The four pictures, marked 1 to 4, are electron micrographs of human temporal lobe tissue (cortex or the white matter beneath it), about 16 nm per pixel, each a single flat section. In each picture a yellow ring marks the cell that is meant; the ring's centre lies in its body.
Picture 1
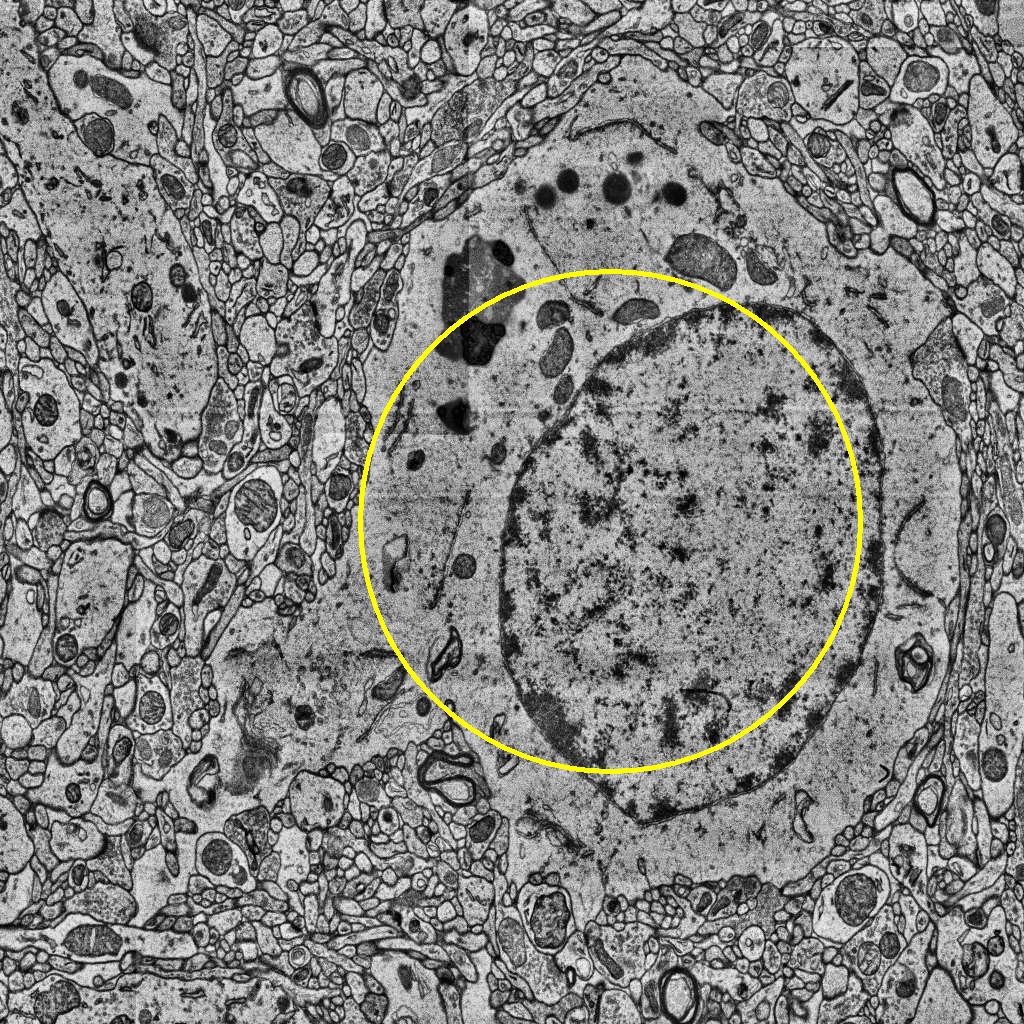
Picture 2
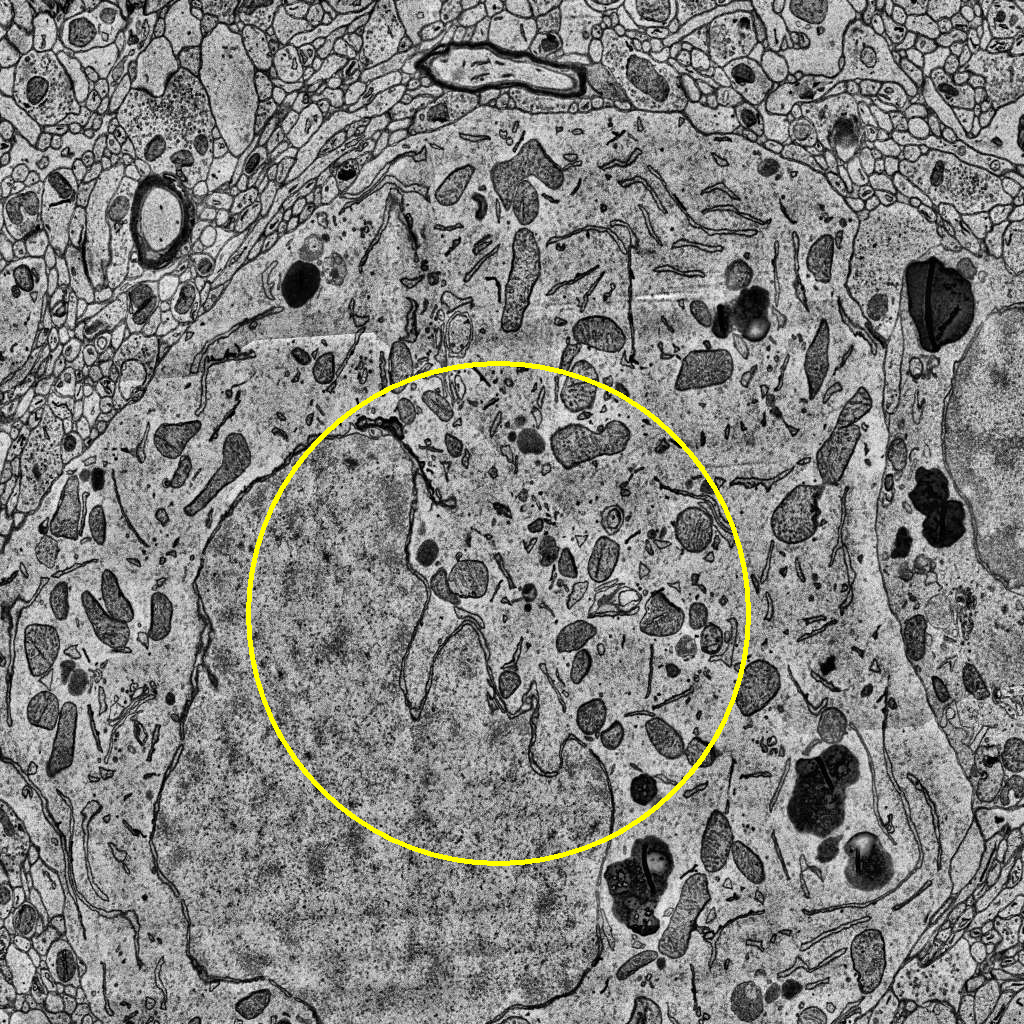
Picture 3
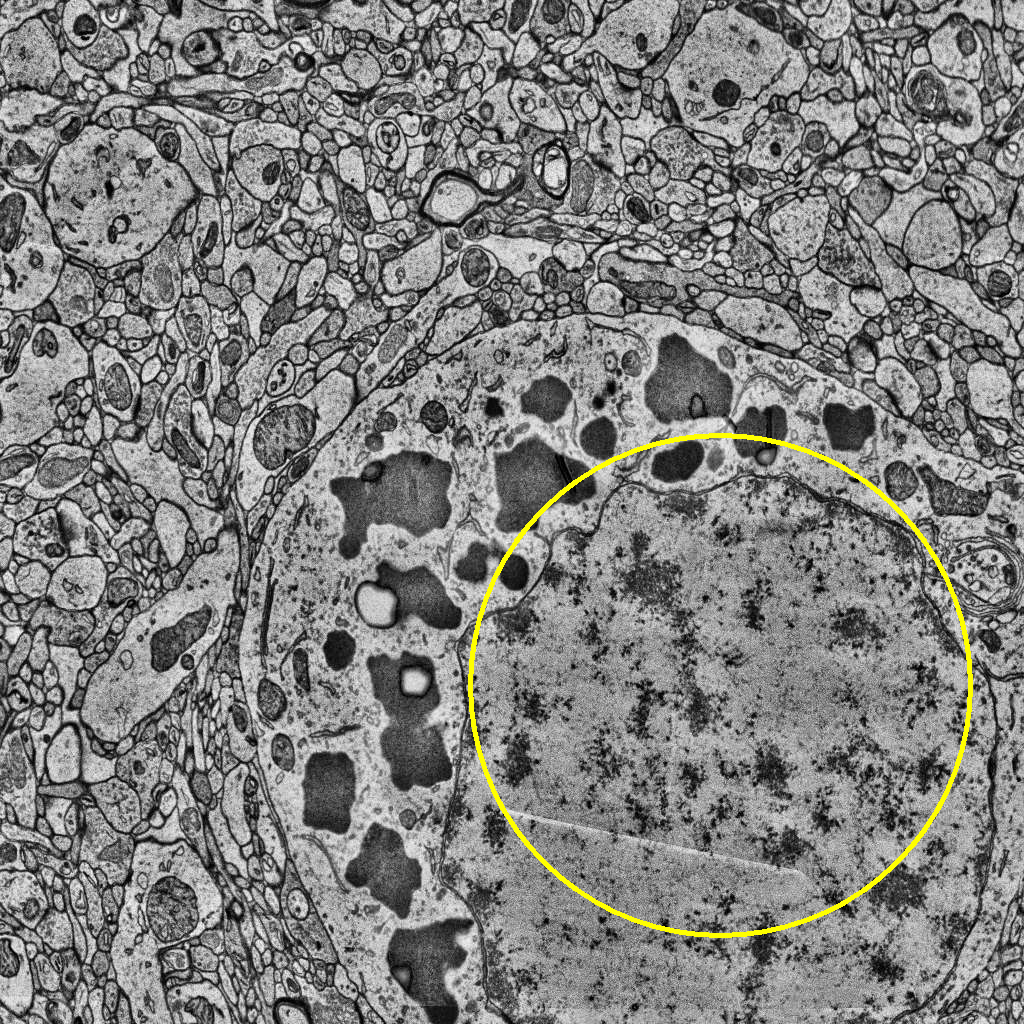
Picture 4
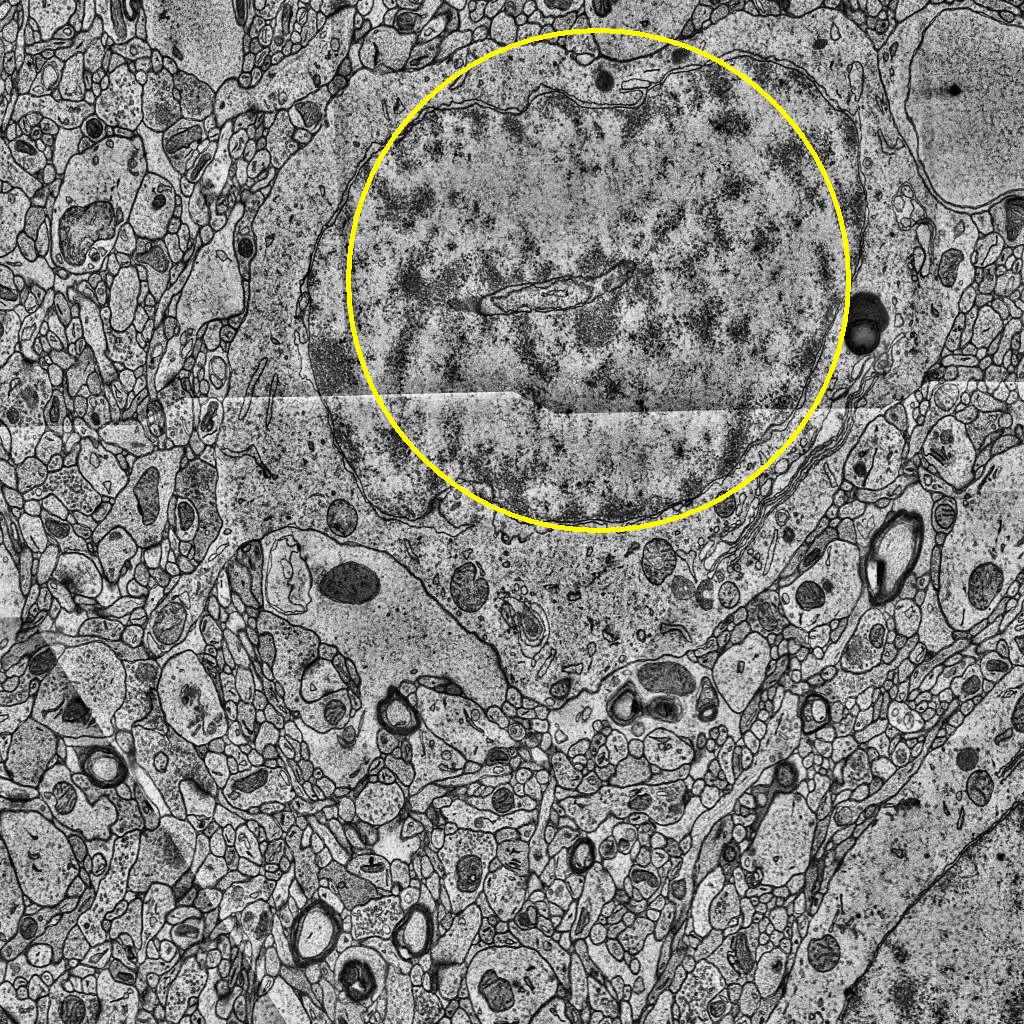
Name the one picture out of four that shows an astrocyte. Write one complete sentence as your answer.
It is picture 1 that shows the astrocyte.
